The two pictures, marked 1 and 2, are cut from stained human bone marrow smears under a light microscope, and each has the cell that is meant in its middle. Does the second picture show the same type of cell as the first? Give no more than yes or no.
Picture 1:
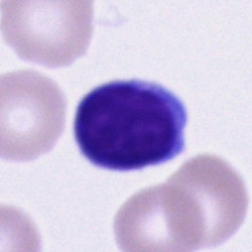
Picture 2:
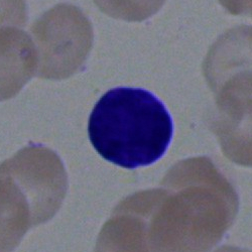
yes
